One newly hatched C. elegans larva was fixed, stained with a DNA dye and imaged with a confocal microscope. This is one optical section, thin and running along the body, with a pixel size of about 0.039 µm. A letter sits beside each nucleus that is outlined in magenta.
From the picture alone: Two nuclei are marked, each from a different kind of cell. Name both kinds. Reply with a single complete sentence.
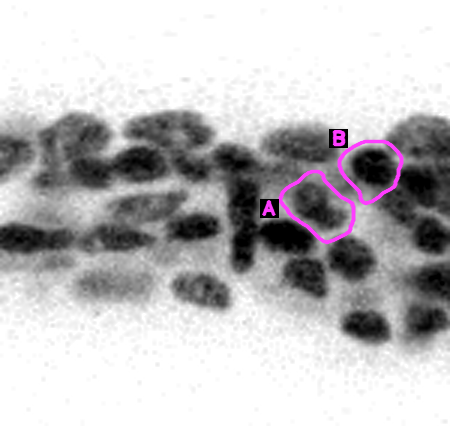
One is from a pharyngeal muscle cell, namely A, and the other, B, is from a neuron.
